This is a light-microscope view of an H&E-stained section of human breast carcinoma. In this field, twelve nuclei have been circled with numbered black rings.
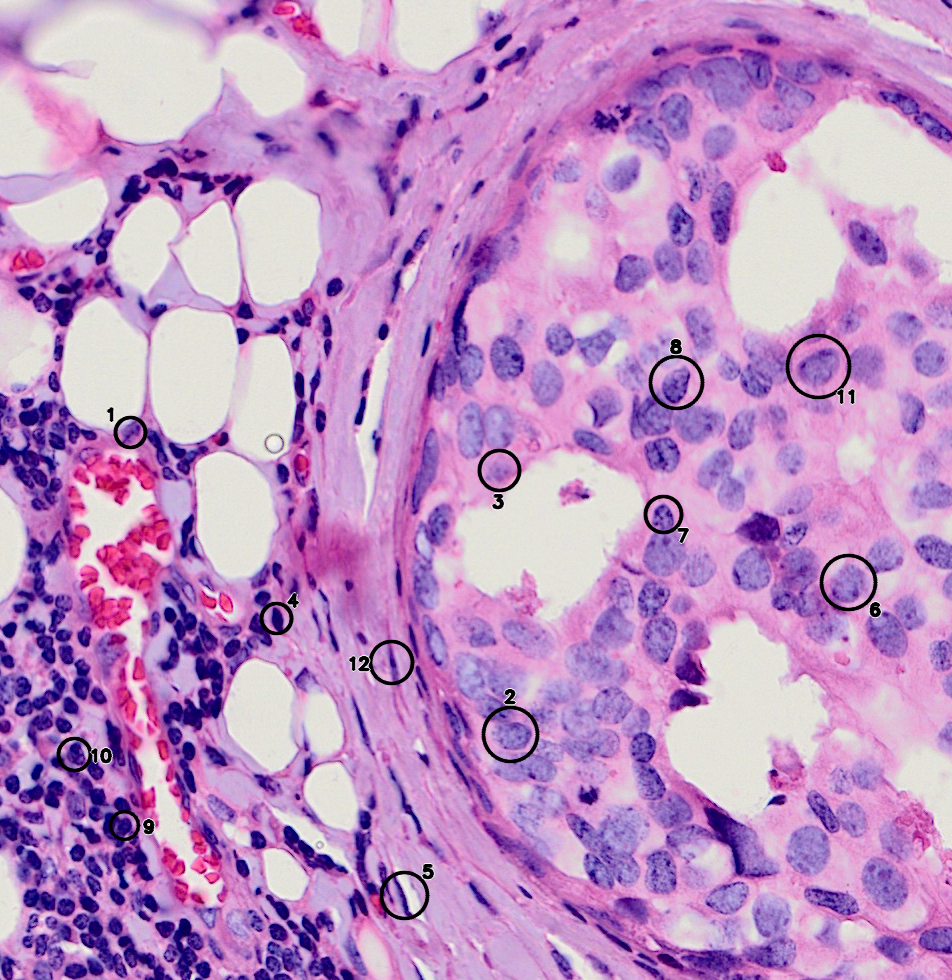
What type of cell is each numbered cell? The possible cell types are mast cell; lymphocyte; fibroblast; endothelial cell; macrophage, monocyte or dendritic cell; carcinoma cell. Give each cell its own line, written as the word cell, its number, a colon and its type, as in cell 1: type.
cell 1: endothelial cell
cell 2: carcinoma cell
cell 3: carcinoma cell
cell 4: lymphocyte
cell 5: fibroblast
cell 6: carcinoma cell
cell 7: carcinoma cell
cell 8: carcinoma cell
cell 9: lymphocyte
cell 10: lymphocyte
cell 11: carcinoma cell
cell 12: fibroblast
